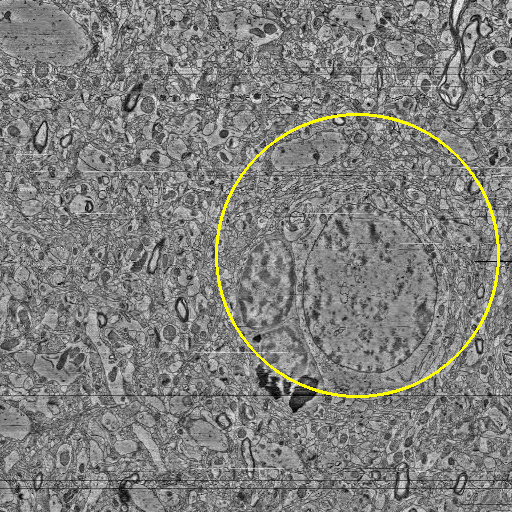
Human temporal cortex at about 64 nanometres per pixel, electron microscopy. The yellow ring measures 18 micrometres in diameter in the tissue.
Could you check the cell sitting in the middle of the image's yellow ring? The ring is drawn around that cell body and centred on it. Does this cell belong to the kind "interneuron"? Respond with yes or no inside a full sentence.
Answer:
No, this cell in the middle of the yellow ring is one of a different kind.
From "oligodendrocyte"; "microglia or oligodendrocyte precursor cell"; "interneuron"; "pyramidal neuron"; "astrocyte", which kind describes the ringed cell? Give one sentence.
The correct answer is that the cell is a pyramidal neuron.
